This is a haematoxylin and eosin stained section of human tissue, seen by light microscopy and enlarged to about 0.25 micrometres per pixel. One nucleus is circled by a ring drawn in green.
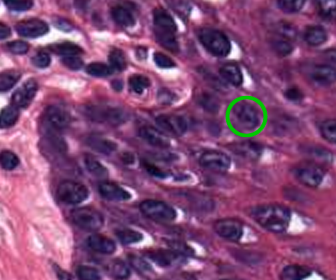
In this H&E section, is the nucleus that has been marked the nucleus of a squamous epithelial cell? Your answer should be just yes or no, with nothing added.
yes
